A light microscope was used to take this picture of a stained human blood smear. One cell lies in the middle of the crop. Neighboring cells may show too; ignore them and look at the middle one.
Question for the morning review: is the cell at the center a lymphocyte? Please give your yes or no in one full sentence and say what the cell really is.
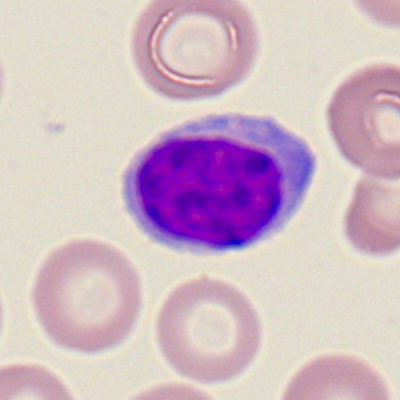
Yes, the cell that lies centrally is a lymphocyte.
